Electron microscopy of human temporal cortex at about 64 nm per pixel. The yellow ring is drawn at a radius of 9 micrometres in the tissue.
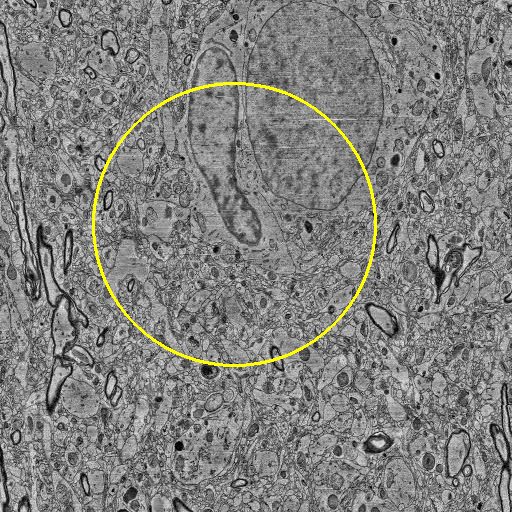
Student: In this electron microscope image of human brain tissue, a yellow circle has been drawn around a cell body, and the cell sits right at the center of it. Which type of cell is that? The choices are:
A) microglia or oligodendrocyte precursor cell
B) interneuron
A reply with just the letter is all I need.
A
